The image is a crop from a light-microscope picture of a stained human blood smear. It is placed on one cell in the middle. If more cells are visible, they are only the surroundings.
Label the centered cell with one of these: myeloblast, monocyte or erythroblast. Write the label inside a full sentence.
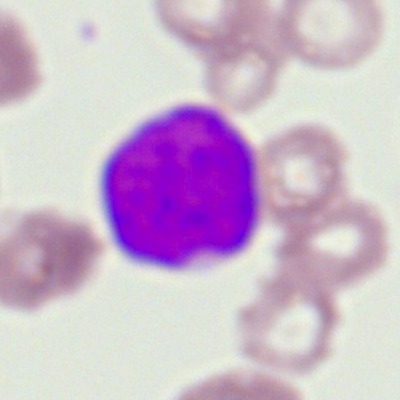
The single cell at the center of the crop is a myeloblast.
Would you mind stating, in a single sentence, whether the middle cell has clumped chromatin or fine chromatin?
Here the nuclear chromatin is coarsely clumped.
